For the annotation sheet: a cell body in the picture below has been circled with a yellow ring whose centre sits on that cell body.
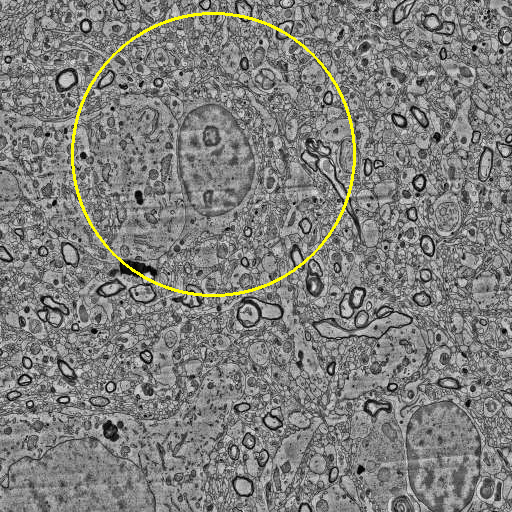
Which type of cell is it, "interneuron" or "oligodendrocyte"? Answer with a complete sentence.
The circled cell is an oligodendrocyte.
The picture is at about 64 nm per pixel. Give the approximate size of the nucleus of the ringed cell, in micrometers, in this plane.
In this plane, about 7 micrometres in length and 5 in width.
